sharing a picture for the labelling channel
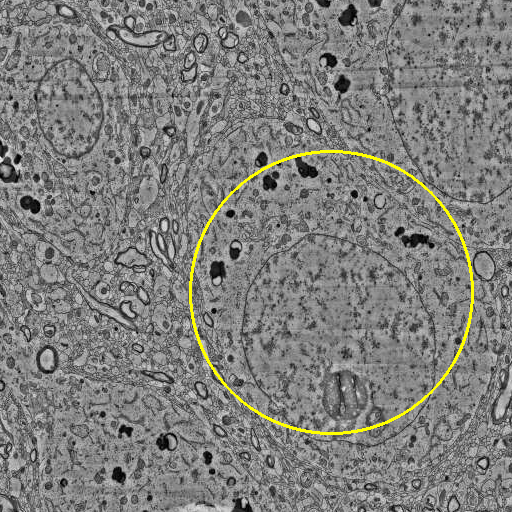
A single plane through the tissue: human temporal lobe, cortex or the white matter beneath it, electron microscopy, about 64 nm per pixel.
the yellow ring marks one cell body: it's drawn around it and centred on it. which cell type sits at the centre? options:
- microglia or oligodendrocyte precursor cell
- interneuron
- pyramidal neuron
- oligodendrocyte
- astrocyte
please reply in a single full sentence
In the picture, the cell at the ring's centre is a pyramidal neuron, going by the list.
